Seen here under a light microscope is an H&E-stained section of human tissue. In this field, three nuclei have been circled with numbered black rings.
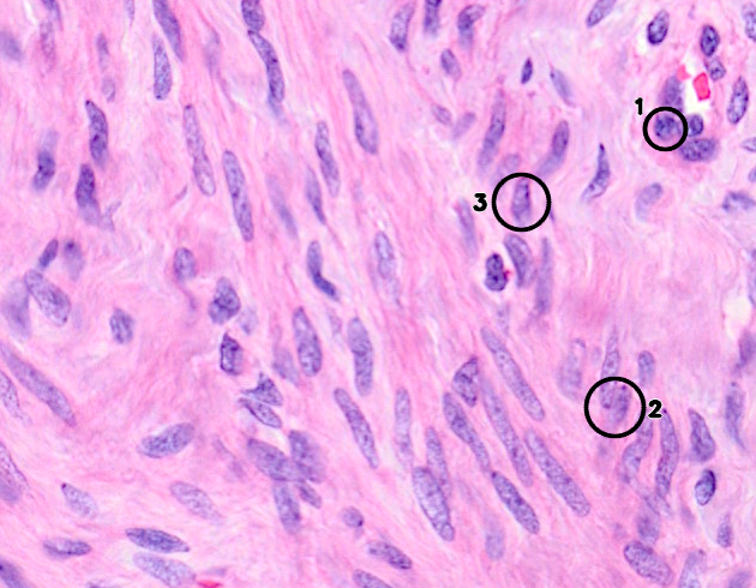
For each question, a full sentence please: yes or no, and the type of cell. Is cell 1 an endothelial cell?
Yes, the cell that goes by number 1 is an endothelial cell.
